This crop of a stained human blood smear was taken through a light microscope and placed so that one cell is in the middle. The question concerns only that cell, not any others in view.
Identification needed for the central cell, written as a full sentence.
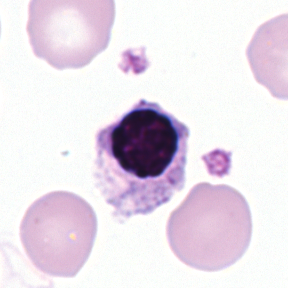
The cell in the exact centre of the crop is a normoblast.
